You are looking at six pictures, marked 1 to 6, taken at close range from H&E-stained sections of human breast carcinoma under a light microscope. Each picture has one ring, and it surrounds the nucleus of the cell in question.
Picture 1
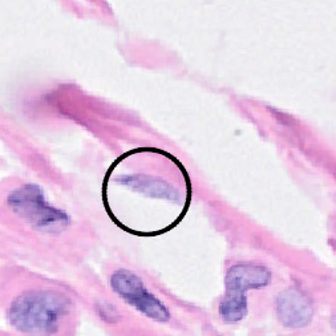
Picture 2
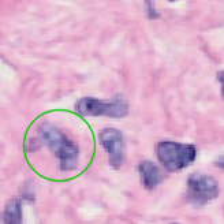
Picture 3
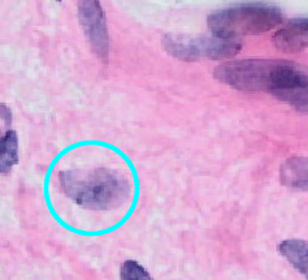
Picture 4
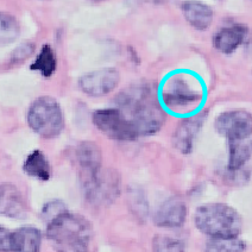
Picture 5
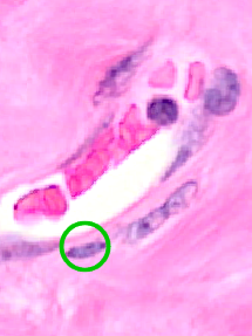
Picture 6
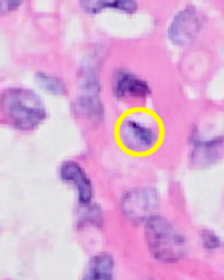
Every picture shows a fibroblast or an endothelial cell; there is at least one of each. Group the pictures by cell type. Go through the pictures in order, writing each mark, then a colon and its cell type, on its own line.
1: fibroblast
2: endothelial cell
3: fibroblast
4: endothelial cell
5: endothelial cell
6: endothelial cell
